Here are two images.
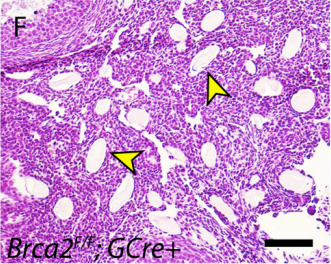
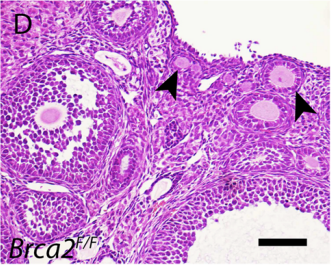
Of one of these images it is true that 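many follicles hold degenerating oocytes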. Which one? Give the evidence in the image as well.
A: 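First image: numerous pale, misshapen oocytes lie among crowded small cells without orderly follicle layers. Second image: follicles show round oocytes with pink rims surrounded by layered granulosa cells.
Answer: the first image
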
